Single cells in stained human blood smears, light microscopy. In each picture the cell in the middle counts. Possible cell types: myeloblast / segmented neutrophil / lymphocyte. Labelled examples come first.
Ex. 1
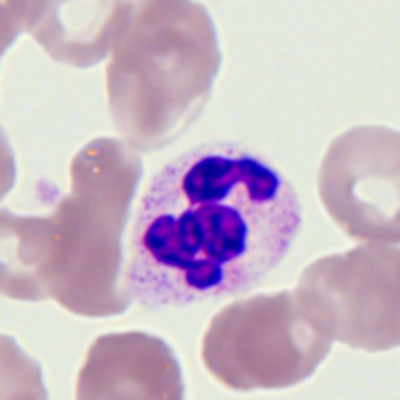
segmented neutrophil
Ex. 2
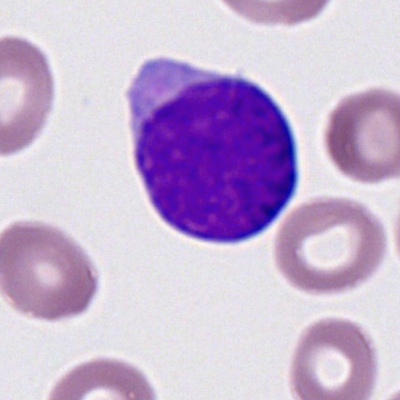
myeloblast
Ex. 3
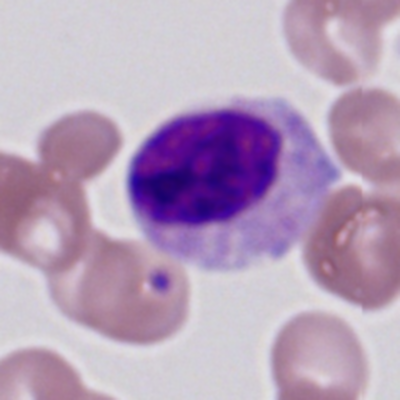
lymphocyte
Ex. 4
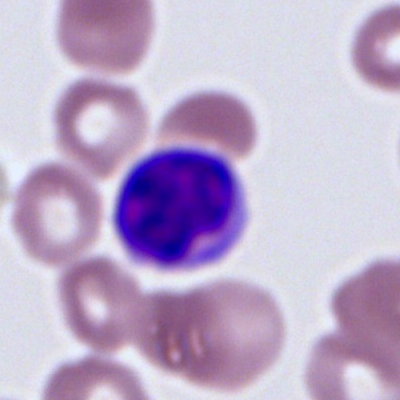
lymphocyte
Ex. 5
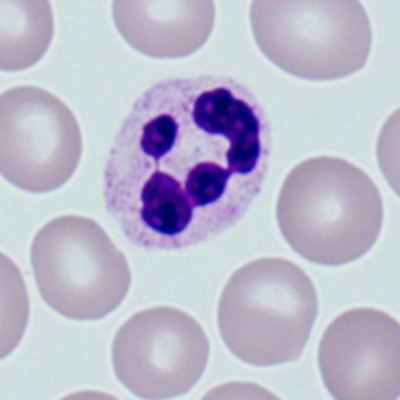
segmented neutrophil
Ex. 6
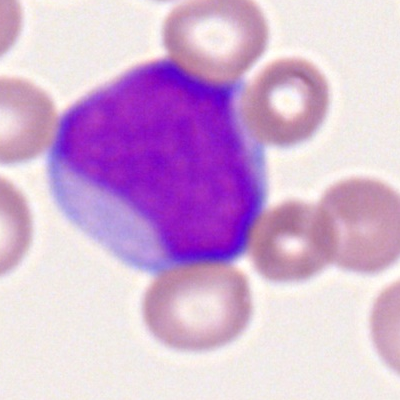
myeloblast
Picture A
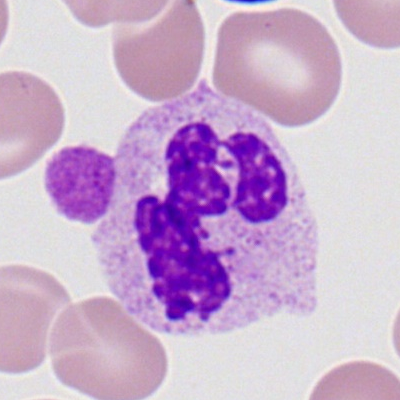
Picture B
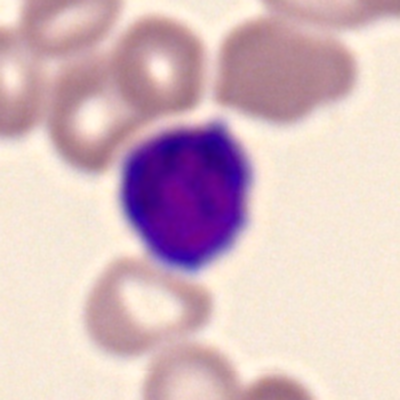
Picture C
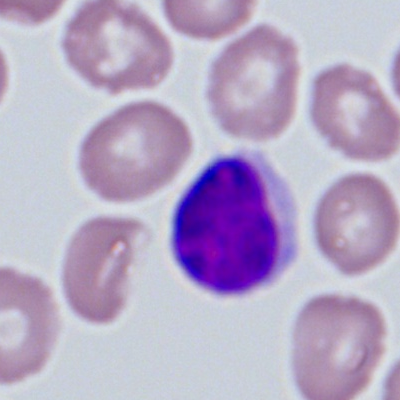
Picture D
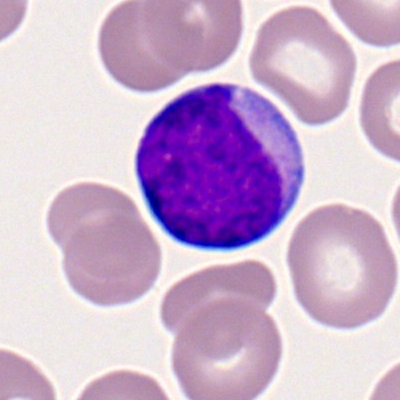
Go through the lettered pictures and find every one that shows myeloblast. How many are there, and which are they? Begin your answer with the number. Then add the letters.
Count: 1 (D)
